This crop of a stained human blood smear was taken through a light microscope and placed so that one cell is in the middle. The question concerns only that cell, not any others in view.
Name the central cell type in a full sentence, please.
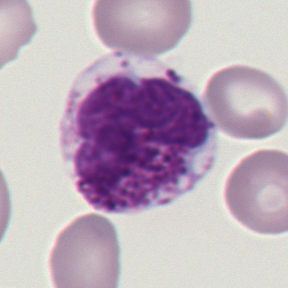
The cell around which this crop is centred is a basophil.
